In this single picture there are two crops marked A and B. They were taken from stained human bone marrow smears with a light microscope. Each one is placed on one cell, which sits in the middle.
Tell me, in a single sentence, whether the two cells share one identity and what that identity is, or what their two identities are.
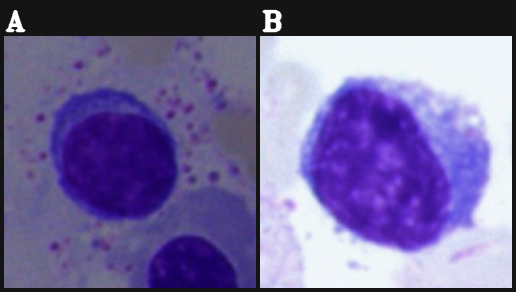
Yes, the cells in the centres of the two crops are lymphocytes.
